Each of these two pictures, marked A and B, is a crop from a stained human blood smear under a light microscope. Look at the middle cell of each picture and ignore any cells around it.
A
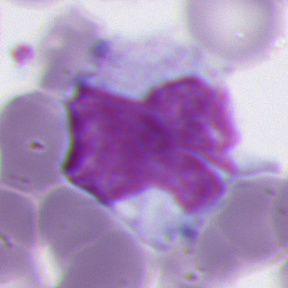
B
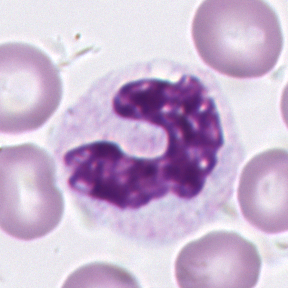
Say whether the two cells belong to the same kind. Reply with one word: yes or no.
no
